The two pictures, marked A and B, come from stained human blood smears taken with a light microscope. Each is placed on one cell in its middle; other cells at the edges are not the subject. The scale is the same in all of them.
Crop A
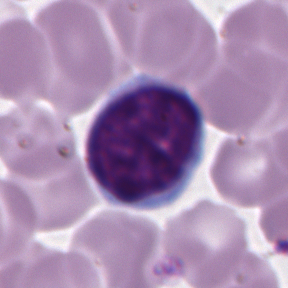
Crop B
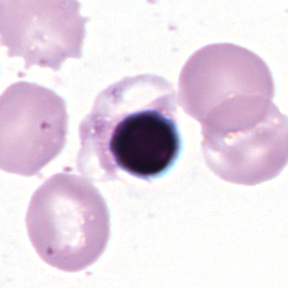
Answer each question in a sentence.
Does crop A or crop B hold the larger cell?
It is the cell in crop A, about 2.5 times as large in area as the cell in crop B.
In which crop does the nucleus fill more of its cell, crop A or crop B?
It is the cell in crop A that is filled more by its nucleus.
